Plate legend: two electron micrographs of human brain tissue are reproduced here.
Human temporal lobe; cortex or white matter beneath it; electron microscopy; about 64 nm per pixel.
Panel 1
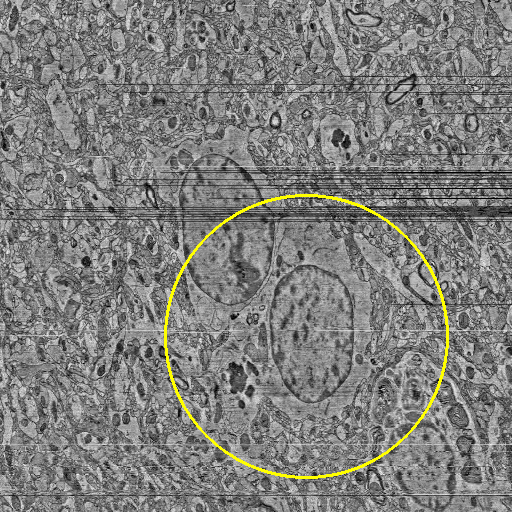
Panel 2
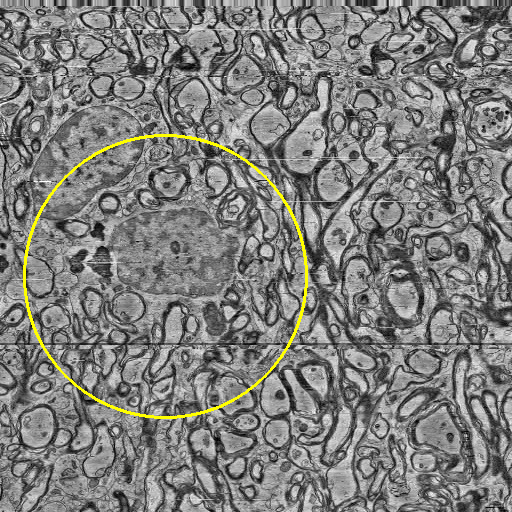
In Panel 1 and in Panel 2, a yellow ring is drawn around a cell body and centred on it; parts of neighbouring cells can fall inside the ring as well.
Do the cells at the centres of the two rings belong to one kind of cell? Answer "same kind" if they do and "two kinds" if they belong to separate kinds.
two kinds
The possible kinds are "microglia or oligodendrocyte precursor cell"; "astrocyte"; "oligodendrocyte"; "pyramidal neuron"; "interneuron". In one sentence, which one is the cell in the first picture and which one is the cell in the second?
The cell ringed in the second picture is an oligodendrocyte, whereas the one ringed in the first is an astrocyte.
